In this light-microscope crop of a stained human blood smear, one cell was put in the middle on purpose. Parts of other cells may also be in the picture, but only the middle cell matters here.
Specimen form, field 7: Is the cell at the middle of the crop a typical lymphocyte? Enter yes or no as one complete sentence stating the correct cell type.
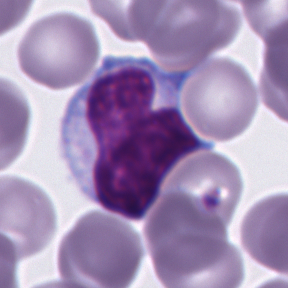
Yes, at the centre of the crop lies a typical lymphocyte.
